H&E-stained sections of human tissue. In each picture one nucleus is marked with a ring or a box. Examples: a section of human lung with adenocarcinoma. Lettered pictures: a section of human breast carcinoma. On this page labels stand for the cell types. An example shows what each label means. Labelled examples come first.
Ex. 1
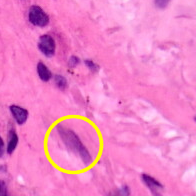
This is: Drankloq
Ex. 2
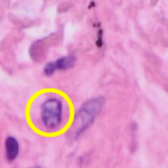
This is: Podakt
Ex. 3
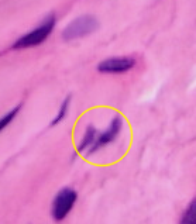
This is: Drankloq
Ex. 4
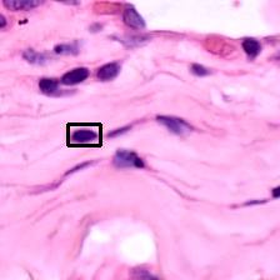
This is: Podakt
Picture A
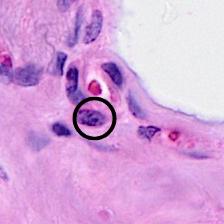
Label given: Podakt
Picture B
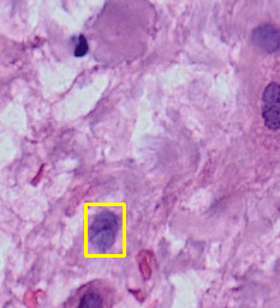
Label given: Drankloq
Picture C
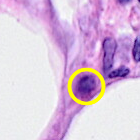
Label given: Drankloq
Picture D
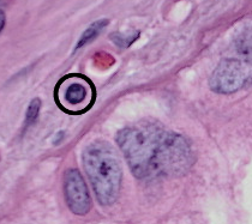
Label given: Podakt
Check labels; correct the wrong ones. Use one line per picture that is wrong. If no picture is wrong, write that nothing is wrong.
C: change Drankloq to Podakt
